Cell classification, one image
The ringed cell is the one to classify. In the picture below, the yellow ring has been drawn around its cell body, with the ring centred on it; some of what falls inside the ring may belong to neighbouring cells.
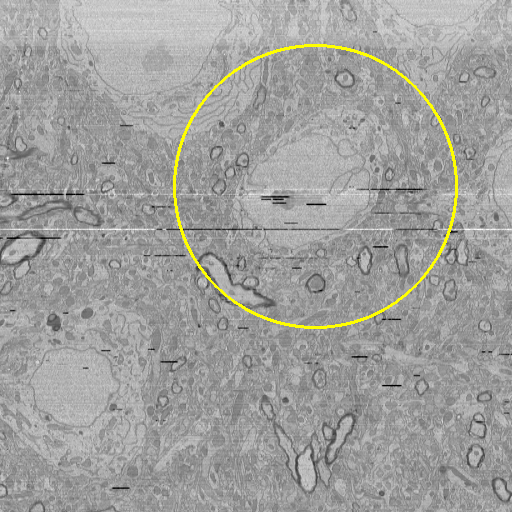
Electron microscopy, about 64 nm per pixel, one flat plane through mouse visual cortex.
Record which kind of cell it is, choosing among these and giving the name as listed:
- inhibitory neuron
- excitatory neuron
inhibitory neuron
